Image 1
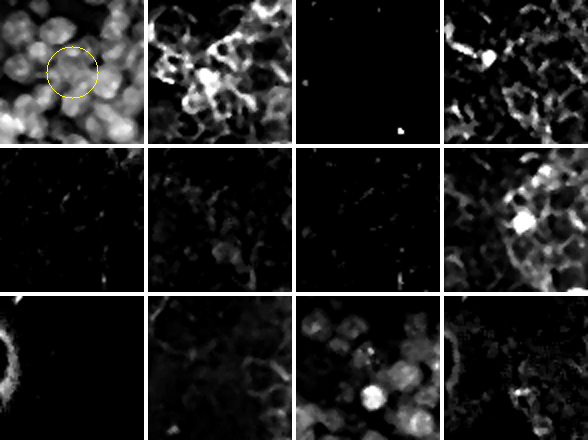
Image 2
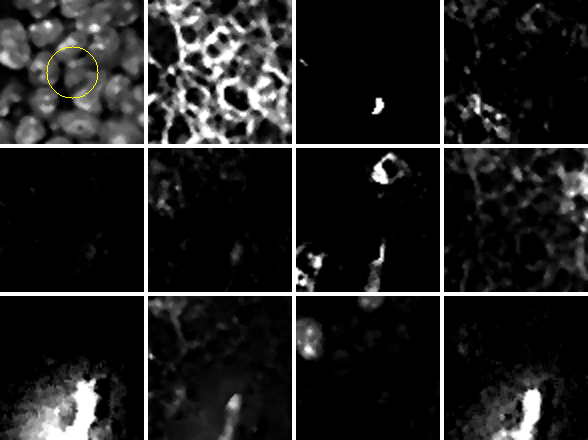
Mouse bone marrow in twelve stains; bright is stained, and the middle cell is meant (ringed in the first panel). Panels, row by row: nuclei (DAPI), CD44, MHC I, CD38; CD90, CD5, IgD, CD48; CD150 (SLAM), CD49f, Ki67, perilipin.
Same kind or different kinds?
Different: the first is a monocyte, the second a neutrophil.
